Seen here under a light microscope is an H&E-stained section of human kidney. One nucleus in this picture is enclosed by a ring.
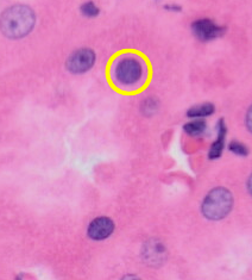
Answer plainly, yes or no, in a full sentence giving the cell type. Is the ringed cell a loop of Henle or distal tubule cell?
No, not quite: the ringed cell is a proximal tubule cell rather than a loop of Henle or distal tubule cell.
